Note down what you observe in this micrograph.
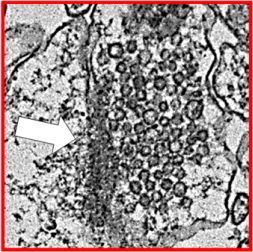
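Transmission electron micrograph of neuropil showing a synapse. A presynaptic terminal is densely packed with many small, round, clear synaptic vesicles of fairly uniform size. Along one side of the vesicle cluster runs a dark, thickened band of dense material marking the postsynaptic density at the synaptic contact. Surrounding profiles are bounded by thin membranes and contain finely granular cytoplasm.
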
